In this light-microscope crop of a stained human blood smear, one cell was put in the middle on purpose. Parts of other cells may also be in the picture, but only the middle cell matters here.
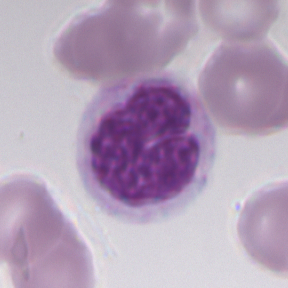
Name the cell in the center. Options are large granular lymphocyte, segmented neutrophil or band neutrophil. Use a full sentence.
The cell the crop is centered on is a band neutrophil.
